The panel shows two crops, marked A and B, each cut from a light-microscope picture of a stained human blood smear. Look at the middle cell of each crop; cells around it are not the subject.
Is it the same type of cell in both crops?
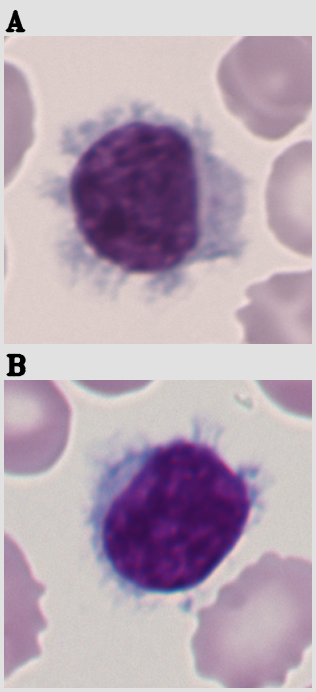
yes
